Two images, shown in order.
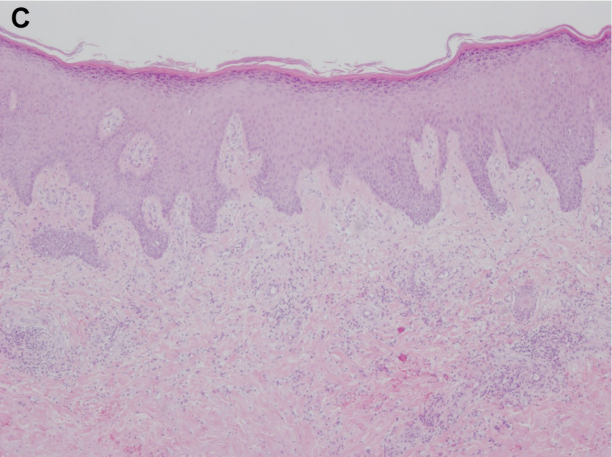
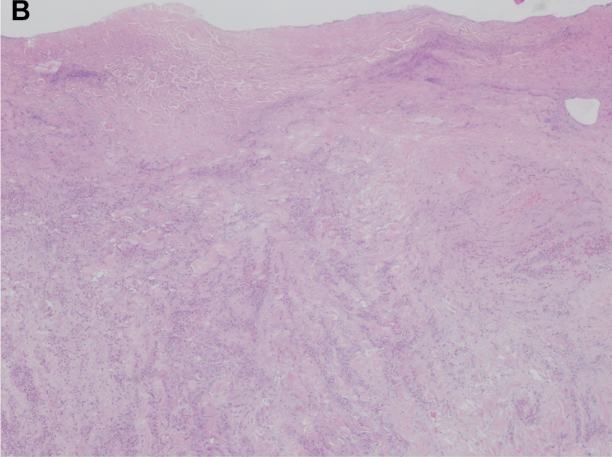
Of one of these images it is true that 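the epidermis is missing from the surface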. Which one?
The second image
